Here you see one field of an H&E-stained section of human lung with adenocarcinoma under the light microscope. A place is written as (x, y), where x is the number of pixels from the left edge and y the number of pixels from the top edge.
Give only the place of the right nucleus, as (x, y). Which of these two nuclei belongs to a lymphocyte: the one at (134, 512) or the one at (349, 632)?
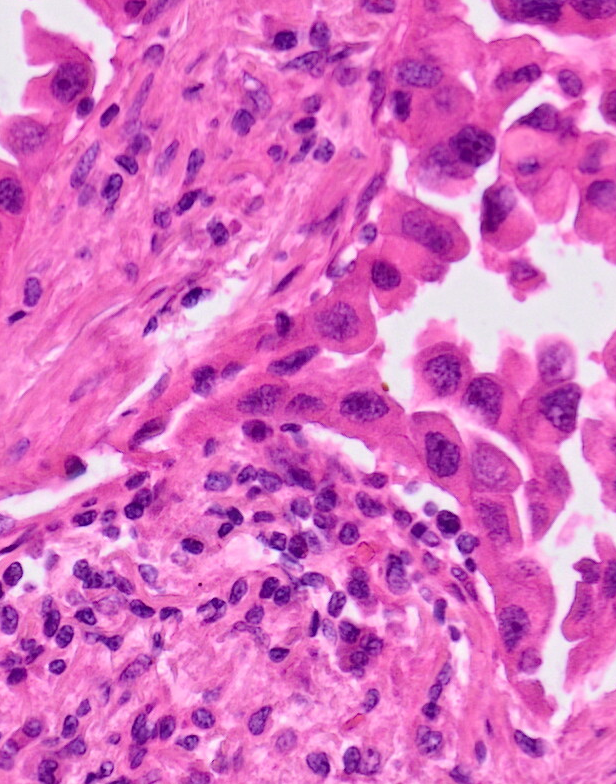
(134, 512)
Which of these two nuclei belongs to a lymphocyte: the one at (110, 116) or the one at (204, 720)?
(110, 116)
